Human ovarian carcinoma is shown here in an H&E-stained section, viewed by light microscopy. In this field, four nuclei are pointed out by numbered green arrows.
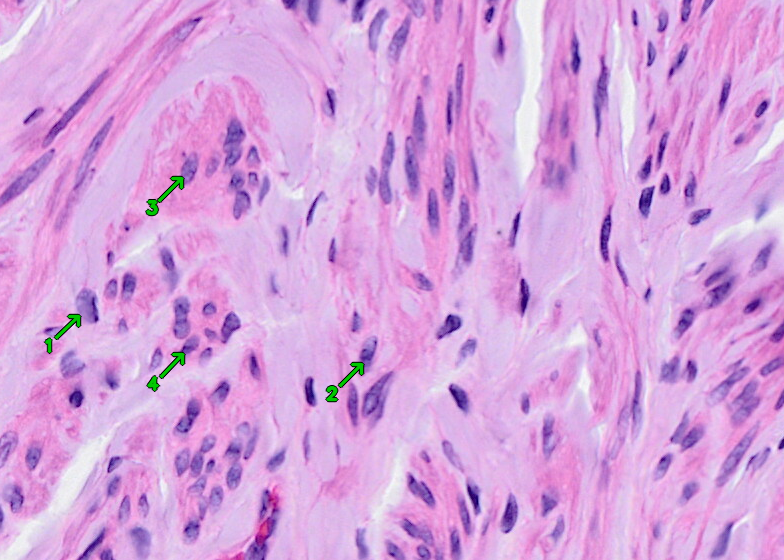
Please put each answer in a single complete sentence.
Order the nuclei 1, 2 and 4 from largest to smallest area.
Going from the biggest nucleus down to the smallest gives 1, 2, 4.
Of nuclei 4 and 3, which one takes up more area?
It is nucleus 3, which covers about 1.5 times the area of nucleus 4.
